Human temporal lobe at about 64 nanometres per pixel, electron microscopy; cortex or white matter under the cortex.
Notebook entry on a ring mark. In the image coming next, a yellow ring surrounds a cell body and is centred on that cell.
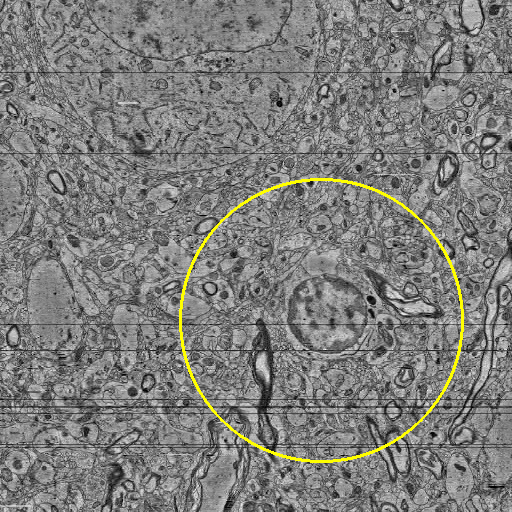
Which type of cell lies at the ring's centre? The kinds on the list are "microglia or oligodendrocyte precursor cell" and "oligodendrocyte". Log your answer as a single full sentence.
Centred in the yellow ring is a microglial cell or oligodendrocyte precursor cell, the cell recorded for this image.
